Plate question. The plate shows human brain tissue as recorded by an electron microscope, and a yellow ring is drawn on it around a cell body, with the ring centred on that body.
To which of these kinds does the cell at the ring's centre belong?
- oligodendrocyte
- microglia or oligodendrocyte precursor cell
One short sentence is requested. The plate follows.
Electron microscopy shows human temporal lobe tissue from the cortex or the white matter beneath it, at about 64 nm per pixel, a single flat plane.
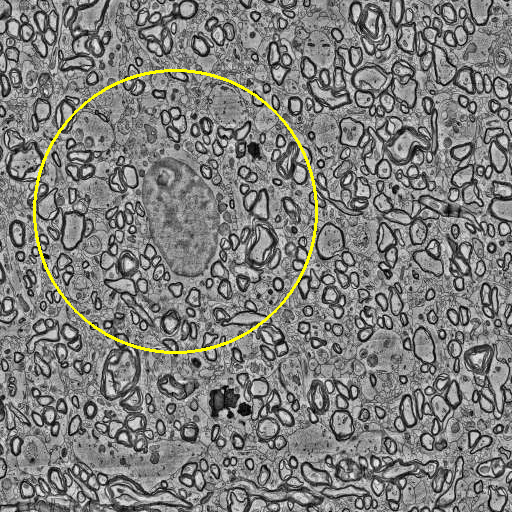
The cell at the ring's centre is an oligodendrocyte.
